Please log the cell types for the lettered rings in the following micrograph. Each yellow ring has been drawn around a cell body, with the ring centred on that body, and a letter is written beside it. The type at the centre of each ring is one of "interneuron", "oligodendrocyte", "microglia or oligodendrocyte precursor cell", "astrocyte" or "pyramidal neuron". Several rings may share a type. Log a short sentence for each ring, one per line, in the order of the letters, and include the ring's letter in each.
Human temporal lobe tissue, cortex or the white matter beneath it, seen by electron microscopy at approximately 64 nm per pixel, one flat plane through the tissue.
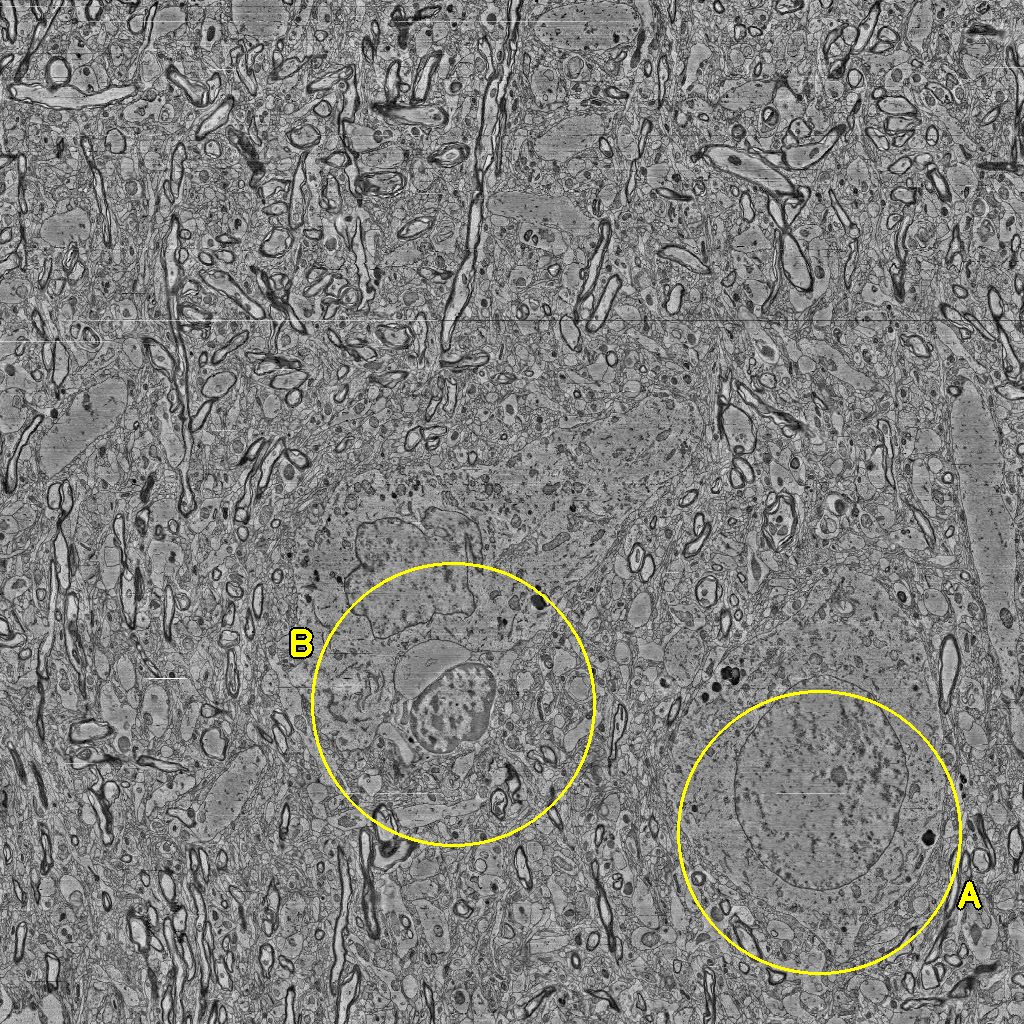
In ring A the central cell is a pyramidal neuron.
In ring B the central cell is a microglial cell or oligodendrocyte precursor cell.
